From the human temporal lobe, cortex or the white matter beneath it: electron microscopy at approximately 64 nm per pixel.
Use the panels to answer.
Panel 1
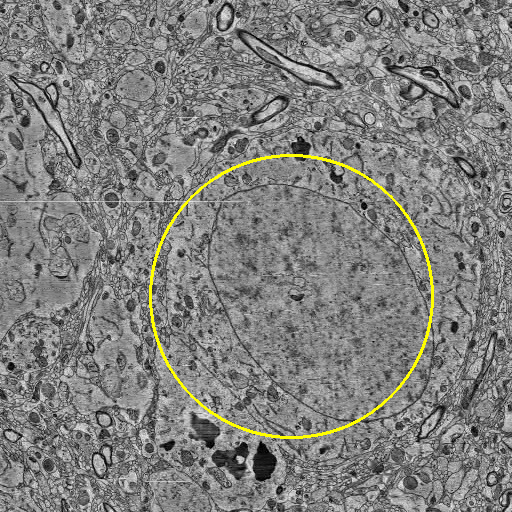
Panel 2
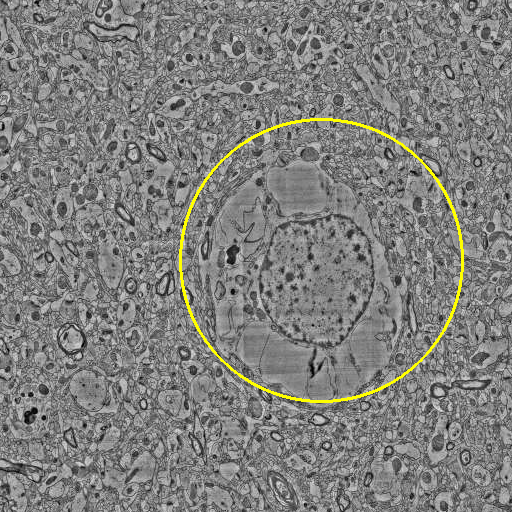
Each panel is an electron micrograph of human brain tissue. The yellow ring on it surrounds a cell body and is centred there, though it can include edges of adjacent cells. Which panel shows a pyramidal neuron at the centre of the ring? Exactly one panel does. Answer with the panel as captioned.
Panel 1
